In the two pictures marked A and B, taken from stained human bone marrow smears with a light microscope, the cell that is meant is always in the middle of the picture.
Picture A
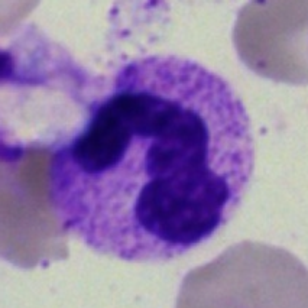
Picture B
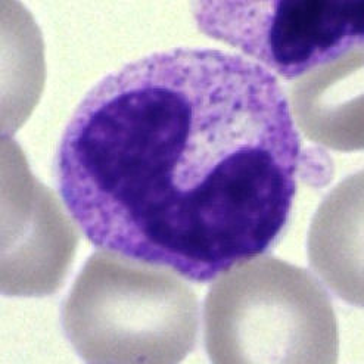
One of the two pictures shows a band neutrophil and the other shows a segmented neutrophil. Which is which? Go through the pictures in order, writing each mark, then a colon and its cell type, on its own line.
A: segmented neutrophil
B: band neutrophil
